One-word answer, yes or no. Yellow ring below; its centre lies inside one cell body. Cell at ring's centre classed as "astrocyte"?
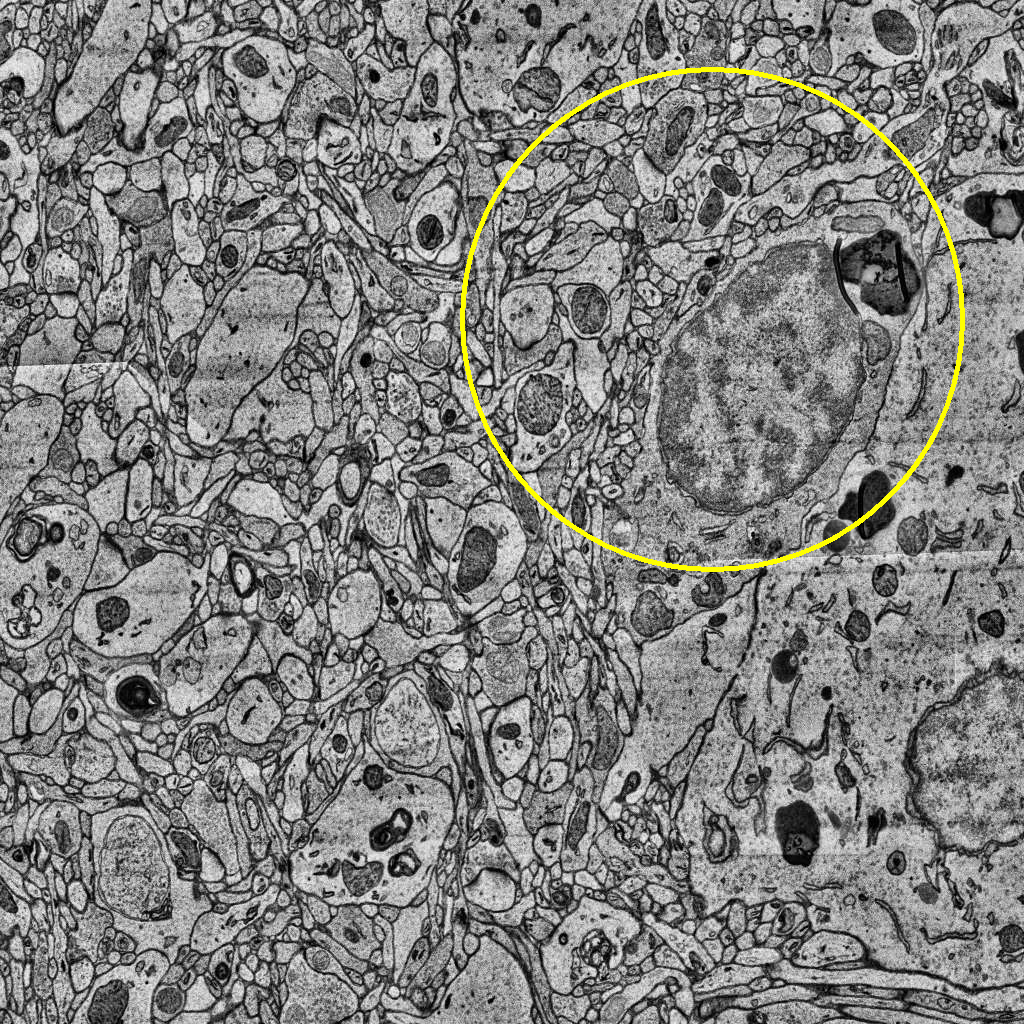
no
